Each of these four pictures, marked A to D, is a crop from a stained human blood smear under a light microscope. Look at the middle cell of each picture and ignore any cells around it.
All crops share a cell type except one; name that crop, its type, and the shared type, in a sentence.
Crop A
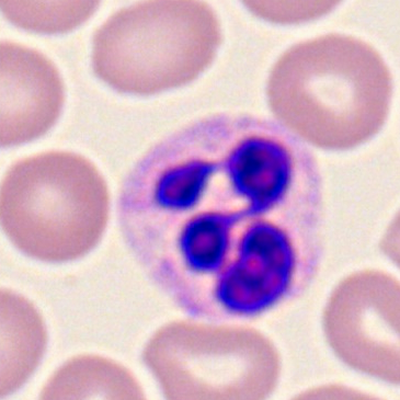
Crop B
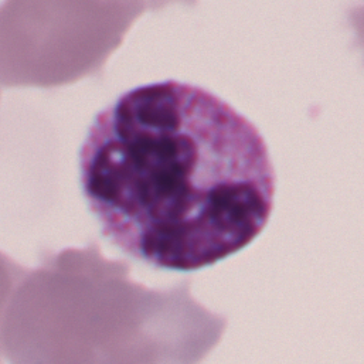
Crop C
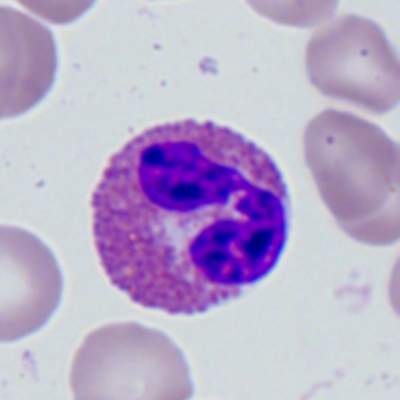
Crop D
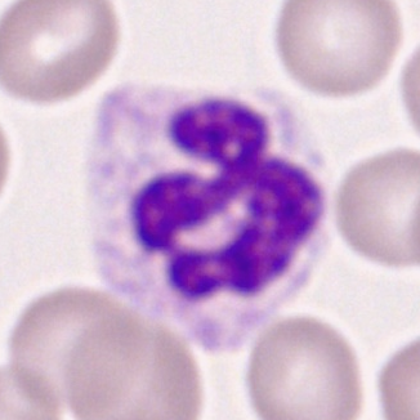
Crop C differs from the others in showing an eosinophil; the rest all show segmented neutrophils.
